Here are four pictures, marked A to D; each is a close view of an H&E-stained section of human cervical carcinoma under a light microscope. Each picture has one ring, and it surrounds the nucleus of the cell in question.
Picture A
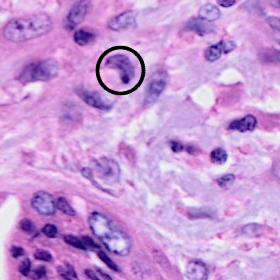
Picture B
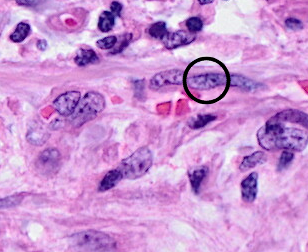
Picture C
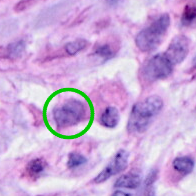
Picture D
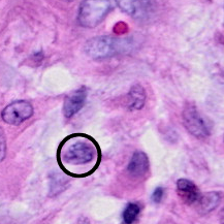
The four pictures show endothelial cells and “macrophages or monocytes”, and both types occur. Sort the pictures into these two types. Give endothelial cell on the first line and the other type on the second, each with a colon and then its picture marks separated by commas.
endothelial cell: B
macrophage or monocyte: A, C, D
